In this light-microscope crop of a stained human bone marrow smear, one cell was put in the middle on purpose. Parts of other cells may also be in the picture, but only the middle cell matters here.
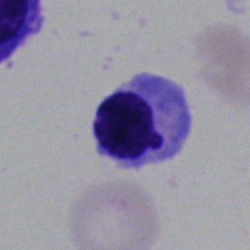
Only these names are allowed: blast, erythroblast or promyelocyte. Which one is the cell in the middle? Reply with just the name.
erythroblast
